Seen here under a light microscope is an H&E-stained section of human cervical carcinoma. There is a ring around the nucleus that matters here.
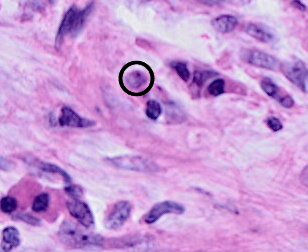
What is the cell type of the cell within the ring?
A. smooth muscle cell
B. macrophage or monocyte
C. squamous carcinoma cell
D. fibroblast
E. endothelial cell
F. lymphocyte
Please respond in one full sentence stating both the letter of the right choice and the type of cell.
It is option B that is correct, the cell within the ring being a macrophage or monocyte.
